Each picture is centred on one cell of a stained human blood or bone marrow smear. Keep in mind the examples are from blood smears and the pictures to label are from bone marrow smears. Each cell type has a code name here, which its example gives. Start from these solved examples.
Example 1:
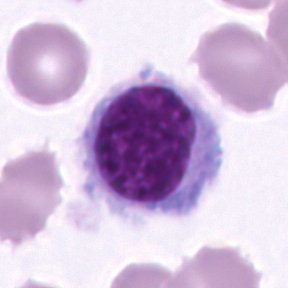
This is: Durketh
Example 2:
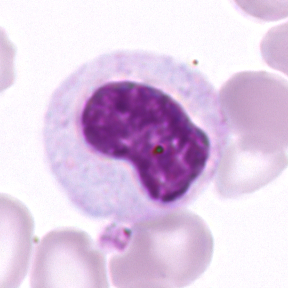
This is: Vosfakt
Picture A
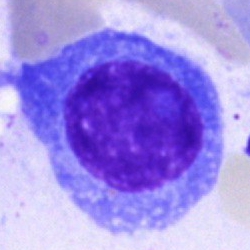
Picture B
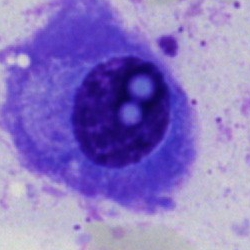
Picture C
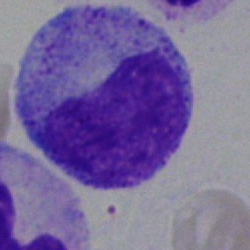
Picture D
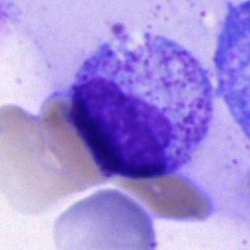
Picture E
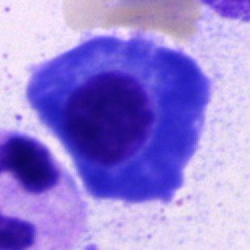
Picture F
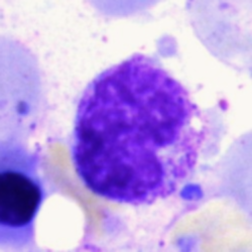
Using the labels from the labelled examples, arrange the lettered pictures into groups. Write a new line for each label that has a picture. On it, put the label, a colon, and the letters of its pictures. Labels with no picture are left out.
Durketh: A, B, E
Vosfakt: C, D, F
